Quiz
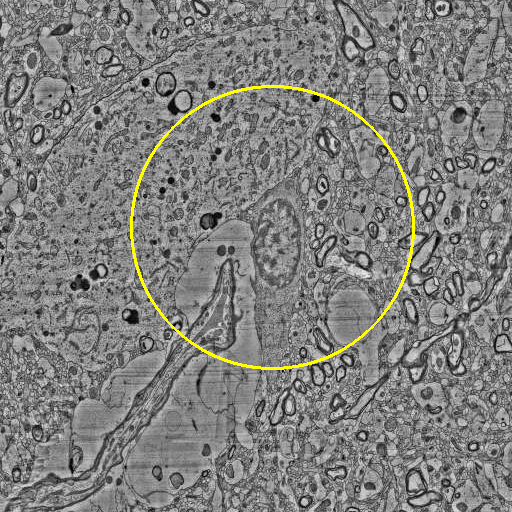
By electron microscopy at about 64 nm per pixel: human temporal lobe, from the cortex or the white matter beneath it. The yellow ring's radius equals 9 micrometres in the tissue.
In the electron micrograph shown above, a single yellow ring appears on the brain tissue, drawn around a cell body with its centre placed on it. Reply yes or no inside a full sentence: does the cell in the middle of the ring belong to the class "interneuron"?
No, the cell at the centre of the ring in the picture belongs to a different class.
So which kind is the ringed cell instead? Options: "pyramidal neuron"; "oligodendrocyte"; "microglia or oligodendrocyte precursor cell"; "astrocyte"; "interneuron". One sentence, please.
At the centre of the ring sits an oligodendrocyte.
